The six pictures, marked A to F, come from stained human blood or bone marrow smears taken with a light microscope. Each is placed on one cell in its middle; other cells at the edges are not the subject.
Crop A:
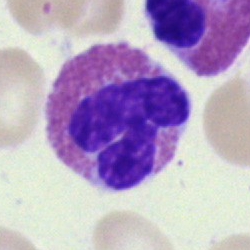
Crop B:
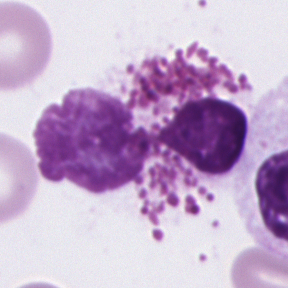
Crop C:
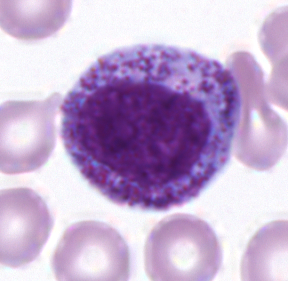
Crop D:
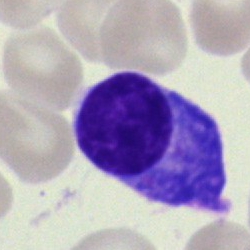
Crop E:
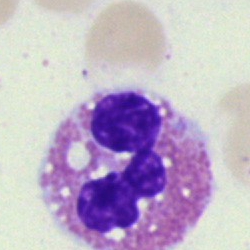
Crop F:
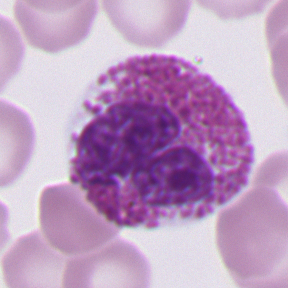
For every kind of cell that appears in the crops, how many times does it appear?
eosinophil: 4
promyelocyte: 1
plasma cell: 1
